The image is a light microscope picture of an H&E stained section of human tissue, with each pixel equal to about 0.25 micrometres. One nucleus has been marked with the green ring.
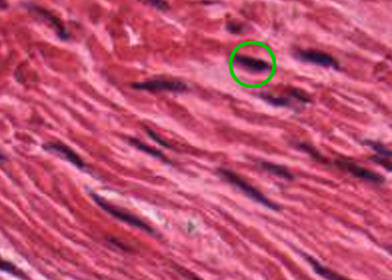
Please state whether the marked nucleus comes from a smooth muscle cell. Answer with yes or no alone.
yes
